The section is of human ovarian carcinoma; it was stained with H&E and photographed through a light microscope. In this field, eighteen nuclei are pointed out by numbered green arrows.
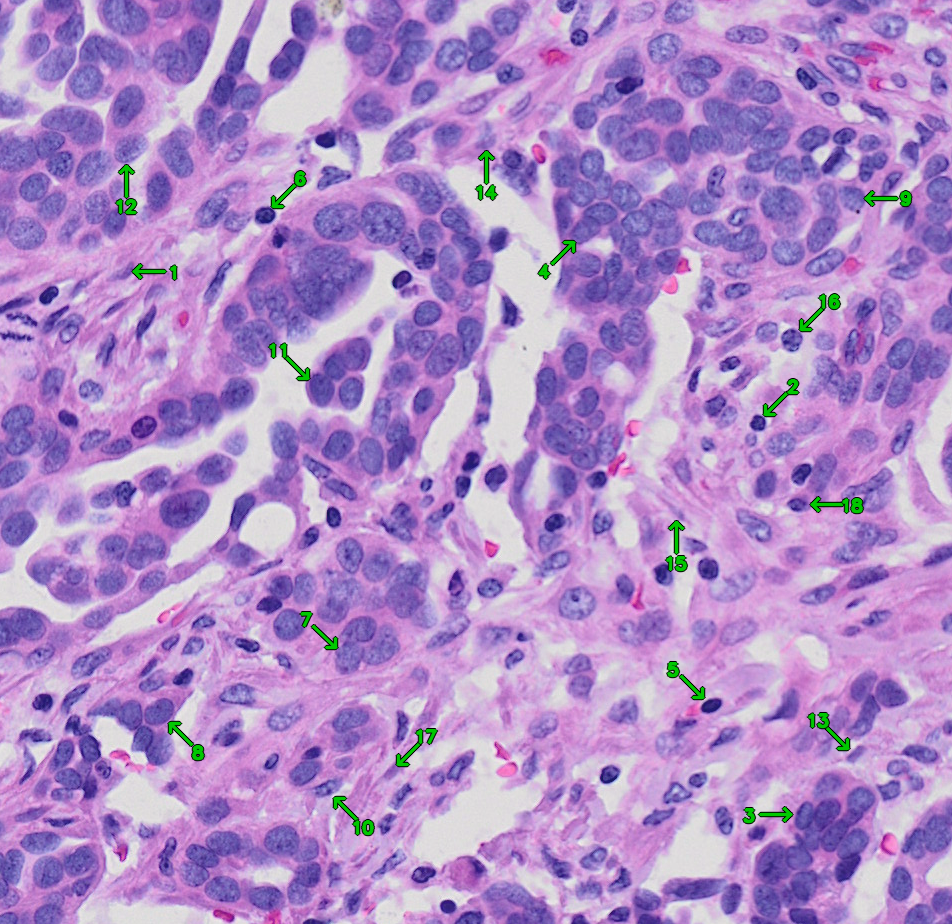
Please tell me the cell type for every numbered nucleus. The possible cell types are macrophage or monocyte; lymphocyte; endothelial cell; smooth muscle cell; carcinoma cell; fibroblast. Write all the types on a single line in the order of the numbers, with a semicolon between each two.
fibroblast; lymphocyte; carcinoma cell; carcinoma cell; lymphocyte; lymphocyte; carcinoma cell; carcinoma cell; carcinoma cell; fibroblast; carcinoma cell; carcinoma cell; fibroblast; fibroblast; fibroblast; lymphocyte; fibroblast; lymphocyte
